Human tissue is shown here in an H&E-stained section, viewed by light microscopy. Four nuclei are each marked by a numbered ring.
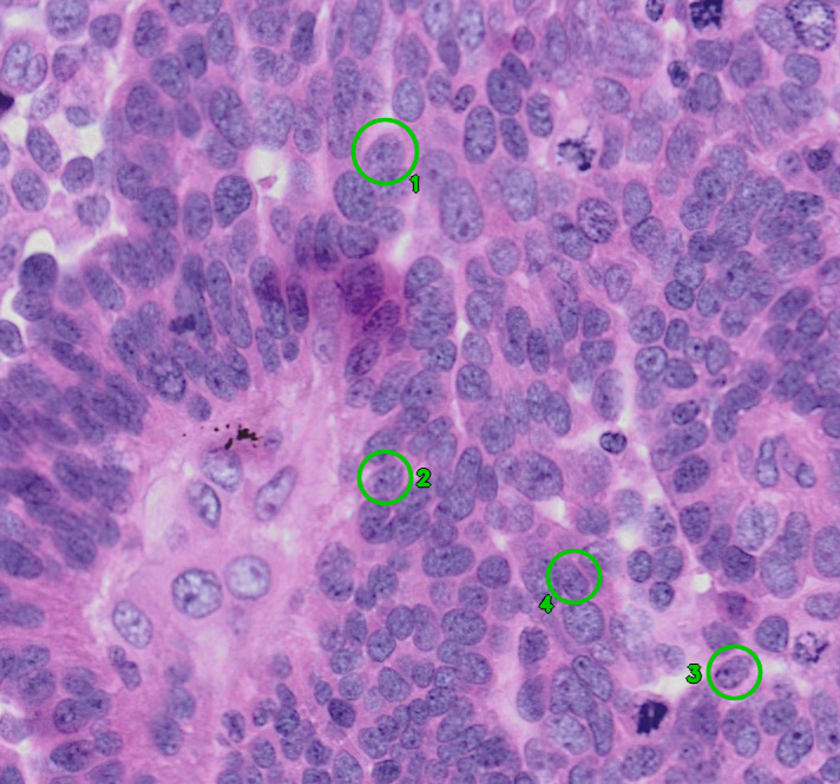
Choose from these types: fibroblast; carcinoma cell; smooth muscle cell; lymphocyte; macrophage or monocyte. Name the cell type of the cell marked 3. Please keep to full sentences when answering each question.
The cell whose nucleus carries the number 3 is a macrophage or monocyte.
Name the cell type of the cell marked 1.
As for number 1, that cell is a carcinoma cell.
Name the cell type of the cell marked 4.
Cell 4 should be recorded as a carcinoma cell.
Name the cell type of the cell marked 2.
The correct label for cell 2 is a carcinoma cell.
